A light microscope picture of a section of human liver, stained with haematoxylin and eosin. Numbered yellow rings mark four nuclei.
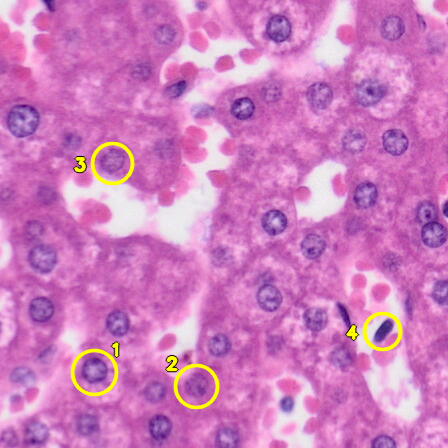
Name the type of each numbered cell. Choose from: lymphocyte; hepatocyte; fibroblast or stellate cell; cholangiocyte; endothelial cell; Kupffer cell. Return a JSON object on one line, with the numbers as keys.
{"1": "hepatocyte", "2": "hepatocyte", "3": "hepatocyte", "4": "lymphocyte"}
